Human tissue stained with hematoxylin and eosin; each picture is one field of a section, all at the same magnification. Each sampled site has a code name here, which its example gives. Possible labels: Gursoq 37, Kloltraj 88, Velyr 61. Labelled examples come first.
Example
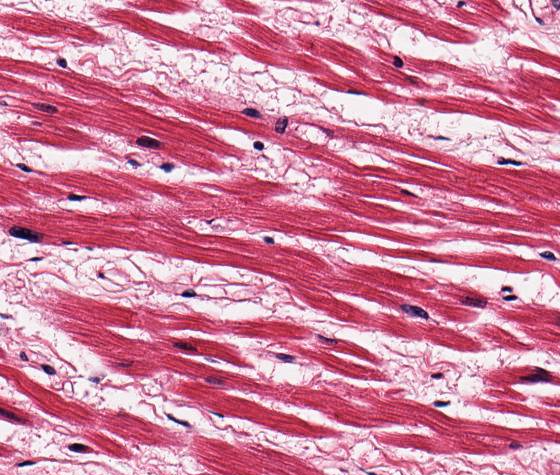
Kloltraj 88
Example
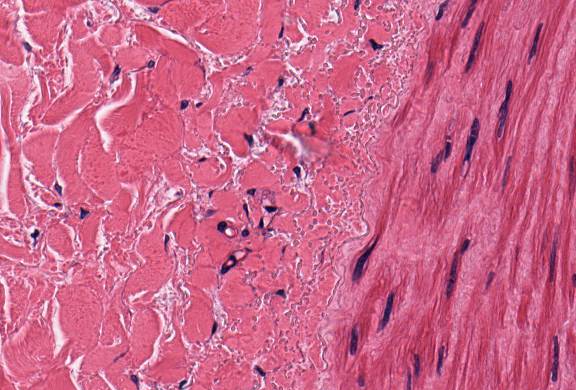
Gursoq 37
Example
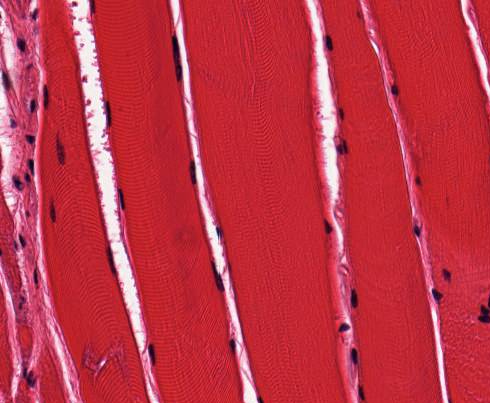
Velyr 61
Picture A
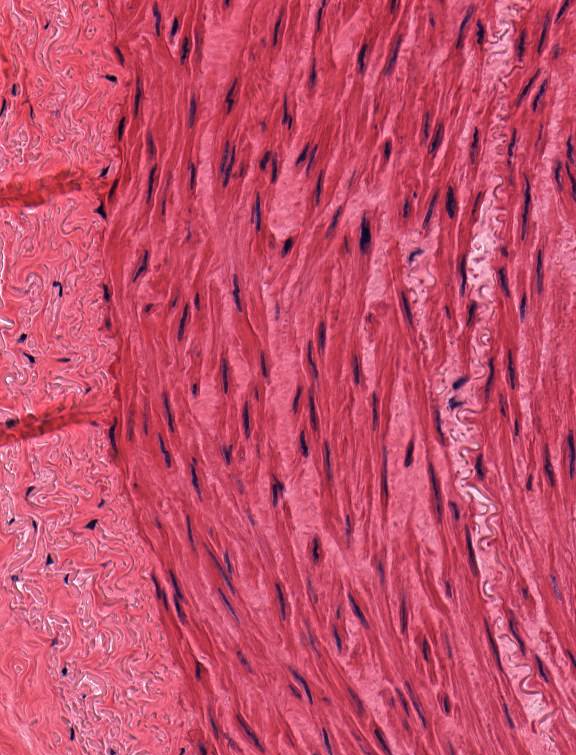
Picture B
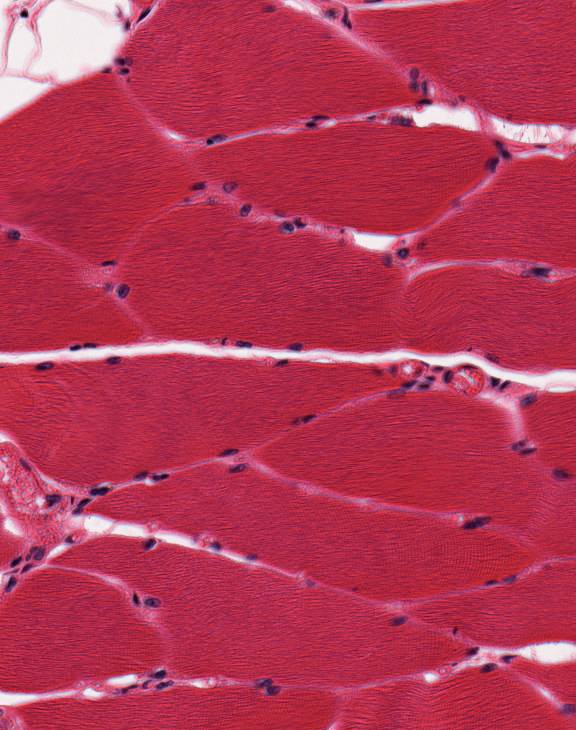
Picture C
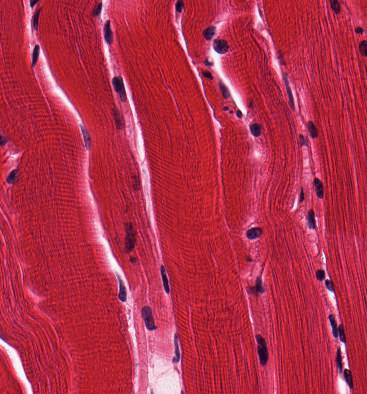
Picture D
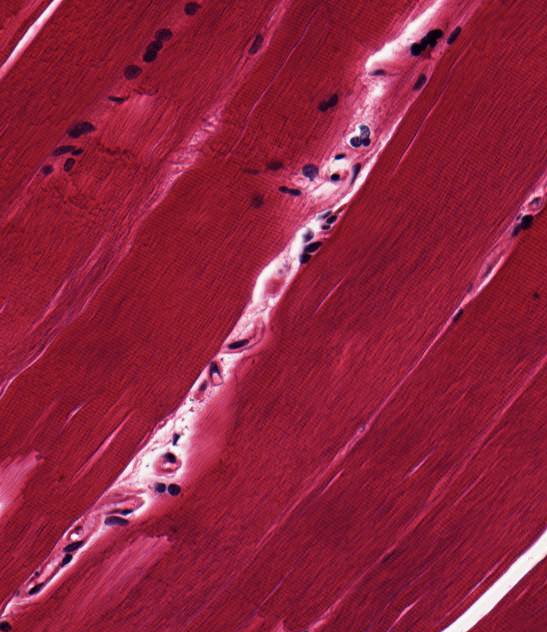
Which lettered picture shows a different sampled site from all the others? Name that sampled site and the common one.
A (Gursoq 37) is the exception; every other picture is Velyr 61.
